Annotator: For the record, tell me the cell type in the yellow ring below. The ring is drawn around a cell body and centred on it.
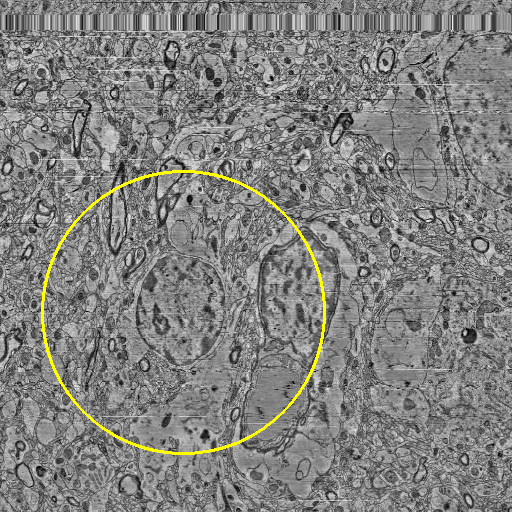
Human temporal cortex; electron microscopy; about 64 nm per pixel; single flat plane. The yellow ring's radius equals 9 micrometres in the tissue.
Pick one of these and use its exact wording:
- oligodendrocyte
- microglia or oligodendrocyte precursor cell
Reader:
microglia or oligodendrocyte precursor cell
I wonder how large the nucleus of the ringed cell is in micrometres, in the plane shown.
The nucleus is approximately 7 micrometers long by 6 micrometers wide in this plane.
